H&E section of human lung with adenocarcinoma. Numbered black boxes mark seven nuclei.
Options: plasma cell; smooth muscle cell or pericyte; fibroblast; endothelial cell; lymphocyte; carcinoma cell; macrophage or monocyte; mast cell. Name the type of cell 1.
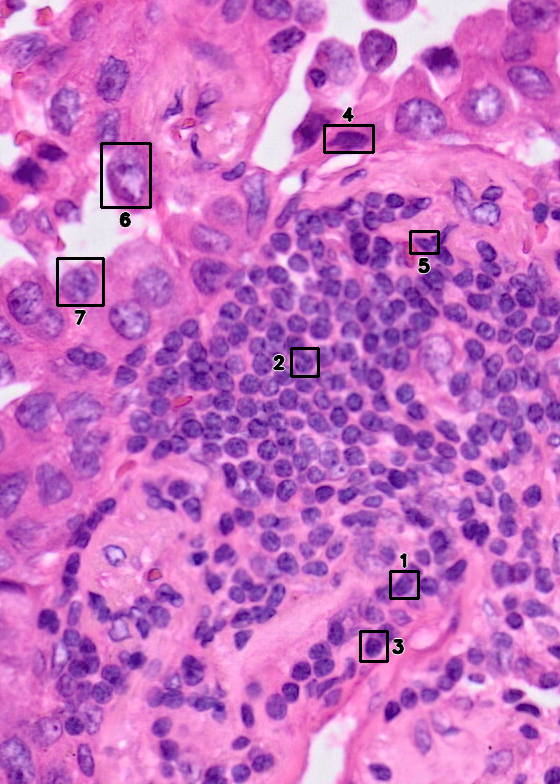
lymphocyte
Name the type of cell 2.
lymphocyte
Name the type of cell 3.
lymphocyte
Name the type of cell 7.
carcinoma cell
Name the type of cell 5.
lymphocyte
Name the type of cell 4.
carcinoma cell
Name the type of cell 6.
carcinoma cell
